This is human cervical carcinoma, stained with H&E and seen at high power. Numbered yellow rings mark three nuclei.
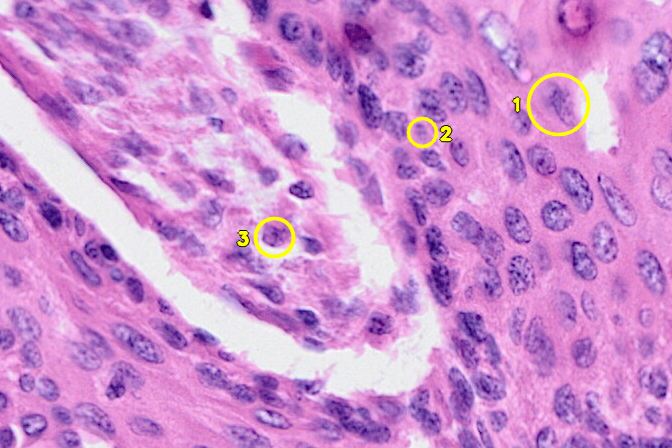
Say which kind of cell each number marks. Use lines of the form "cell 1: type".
cell 1: squamous carcinoma cell
cell 2: squamous carcinoma cell
cell 3: macrophage or monocyte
